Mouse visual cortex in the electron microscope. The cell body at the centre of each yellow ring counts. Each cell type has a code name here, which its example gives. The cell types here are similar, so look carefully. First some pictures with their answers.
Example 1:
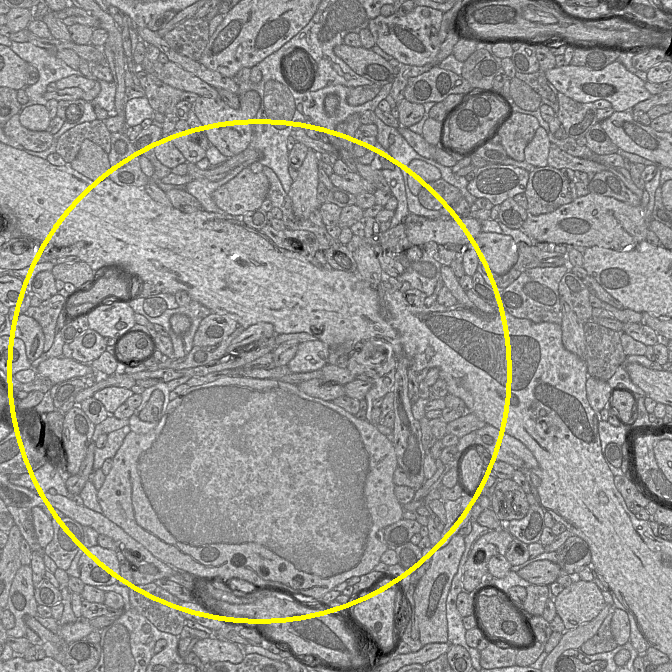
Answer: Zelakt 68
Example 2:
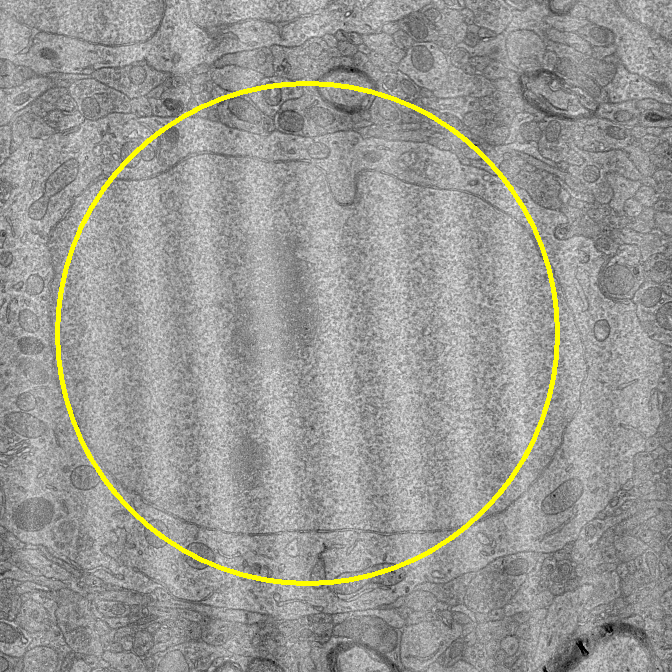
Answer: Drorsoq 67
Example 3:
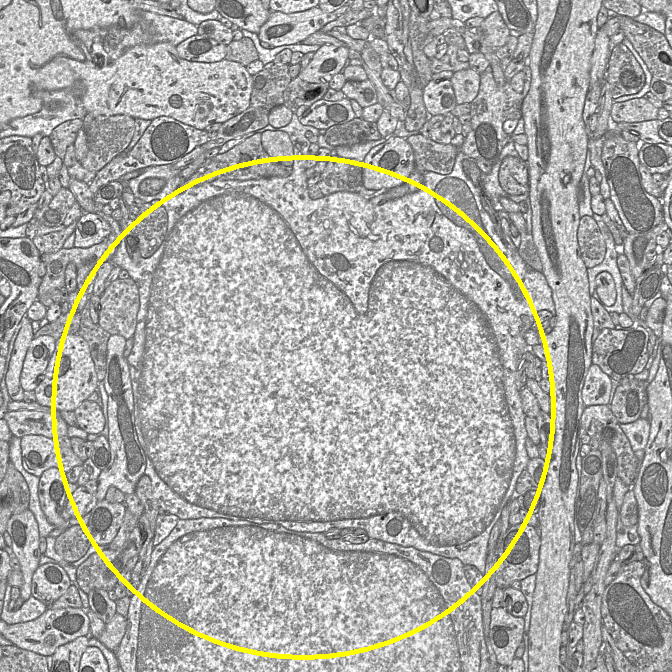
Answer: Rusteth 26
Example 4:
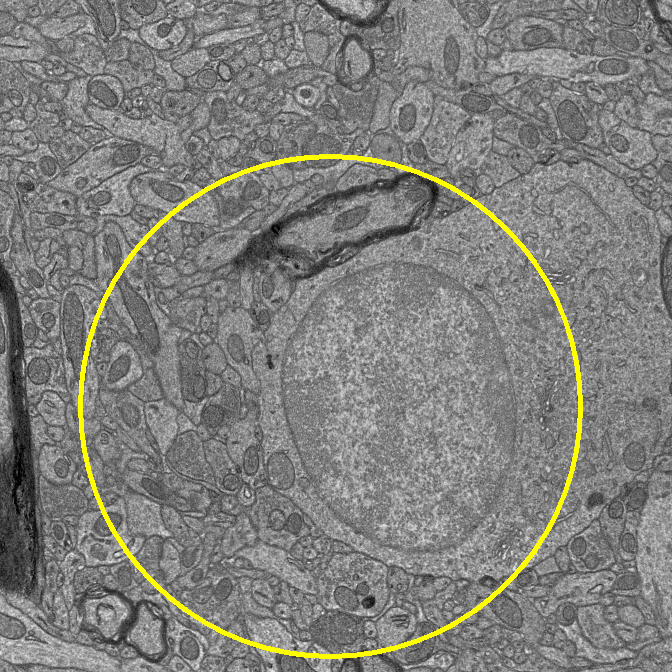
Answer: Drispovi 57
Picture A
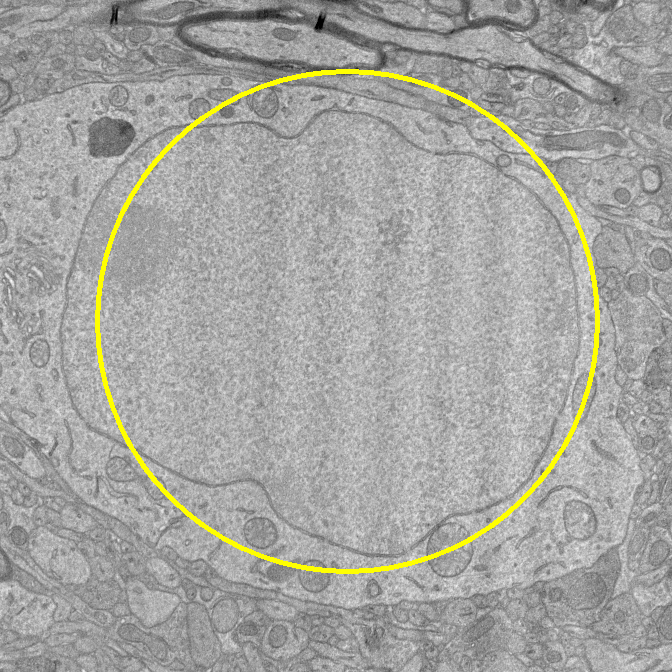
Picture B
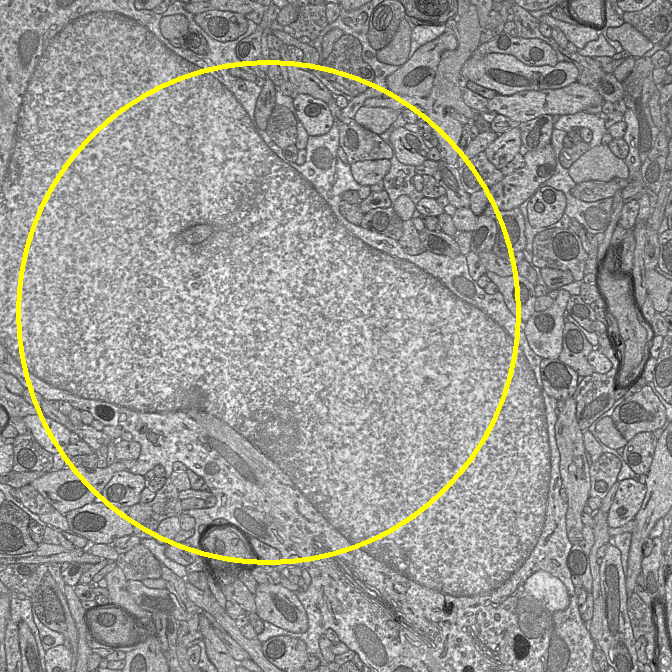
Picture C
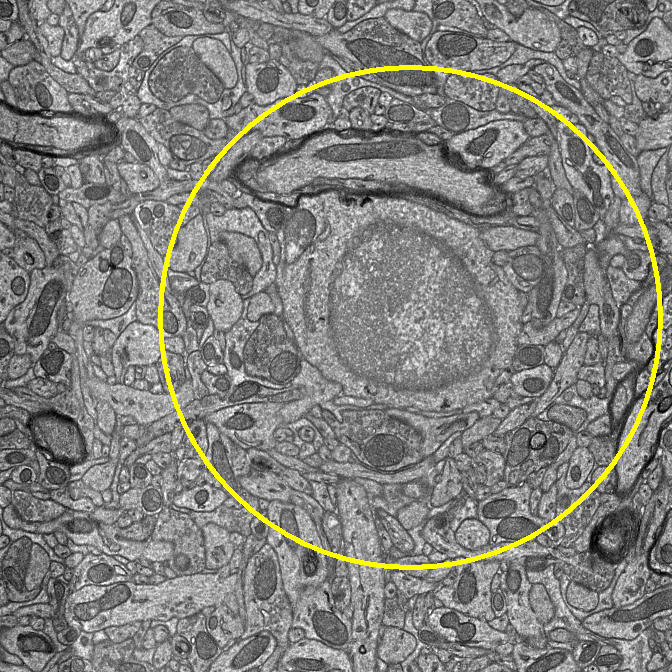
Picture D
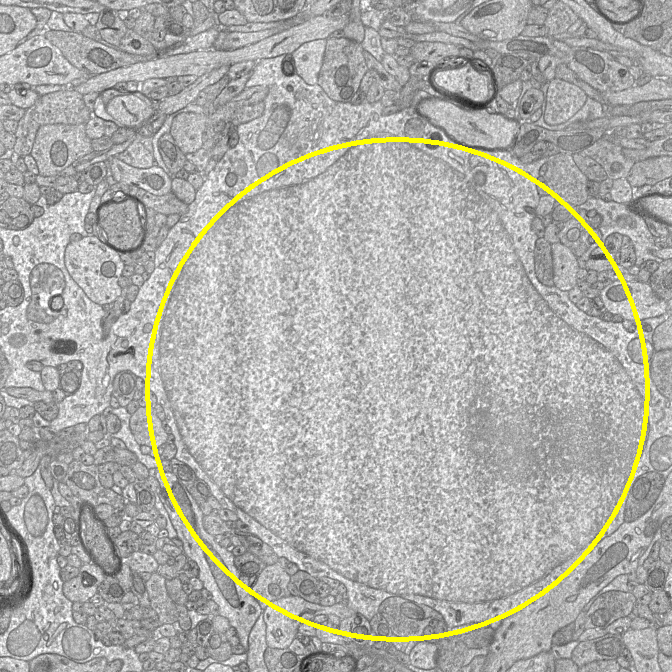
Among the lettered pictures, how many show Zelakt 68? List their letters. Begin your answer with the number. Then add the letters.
0, none of them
